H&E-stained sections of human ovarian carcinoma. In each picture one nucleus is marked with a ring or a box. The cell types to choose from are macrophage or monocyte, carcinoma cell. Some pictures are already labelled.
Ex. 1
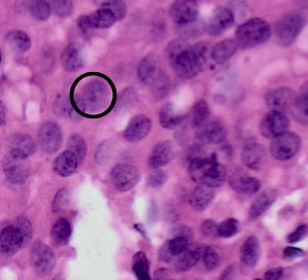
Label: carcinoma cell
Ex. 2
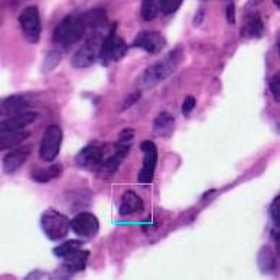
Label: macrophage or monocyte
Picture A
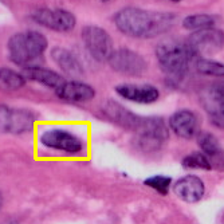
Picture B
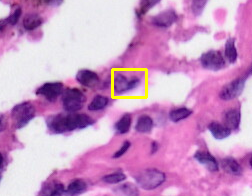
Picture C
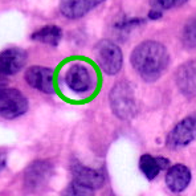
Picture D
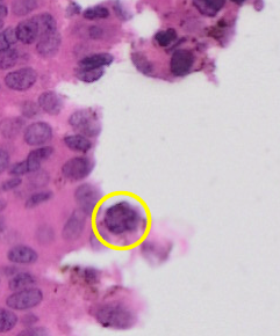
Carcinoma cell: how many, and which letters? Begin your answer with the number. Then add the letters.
Count: 1 (D)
